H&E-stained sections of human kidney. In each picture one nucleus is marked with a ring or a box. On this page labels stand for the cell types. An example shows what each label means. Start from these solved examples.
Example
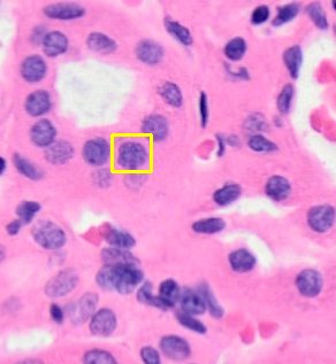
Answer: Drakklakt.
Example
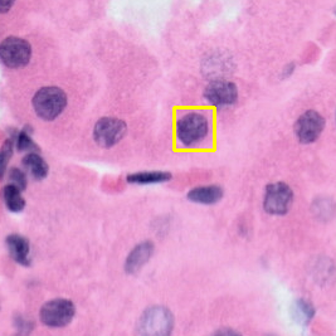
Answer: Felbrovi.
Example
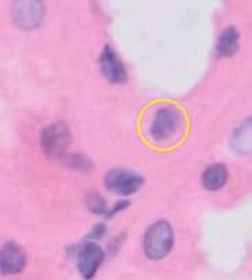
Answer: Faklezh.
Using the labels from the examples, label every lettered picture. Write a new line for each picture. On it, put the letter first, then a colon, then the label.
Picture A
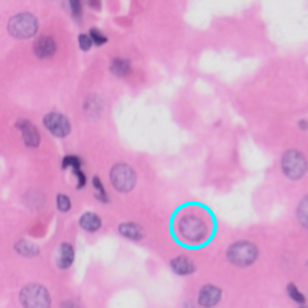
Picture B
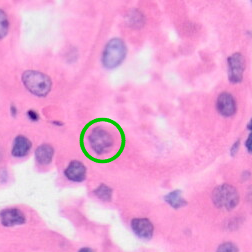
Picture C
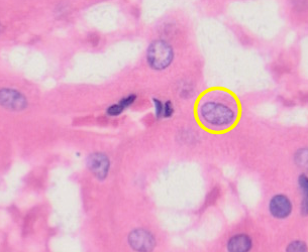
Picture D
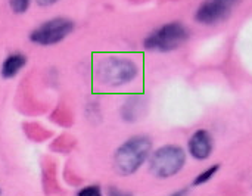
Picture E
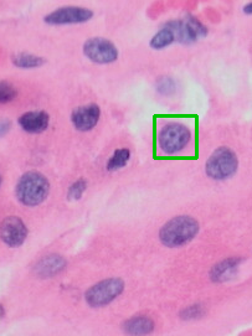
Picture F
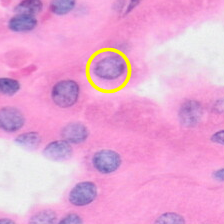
A: Felbrovi.
B: Felbrovi.
C: Felbrovi.
D: Drakklakt.
E: Faklezh.
F: Felbrovi.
